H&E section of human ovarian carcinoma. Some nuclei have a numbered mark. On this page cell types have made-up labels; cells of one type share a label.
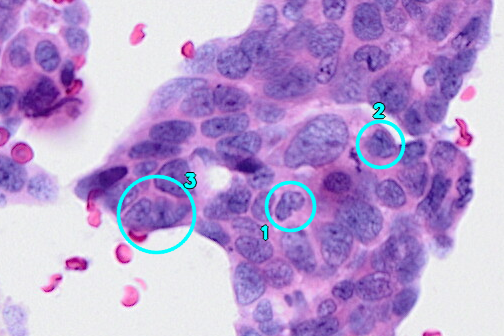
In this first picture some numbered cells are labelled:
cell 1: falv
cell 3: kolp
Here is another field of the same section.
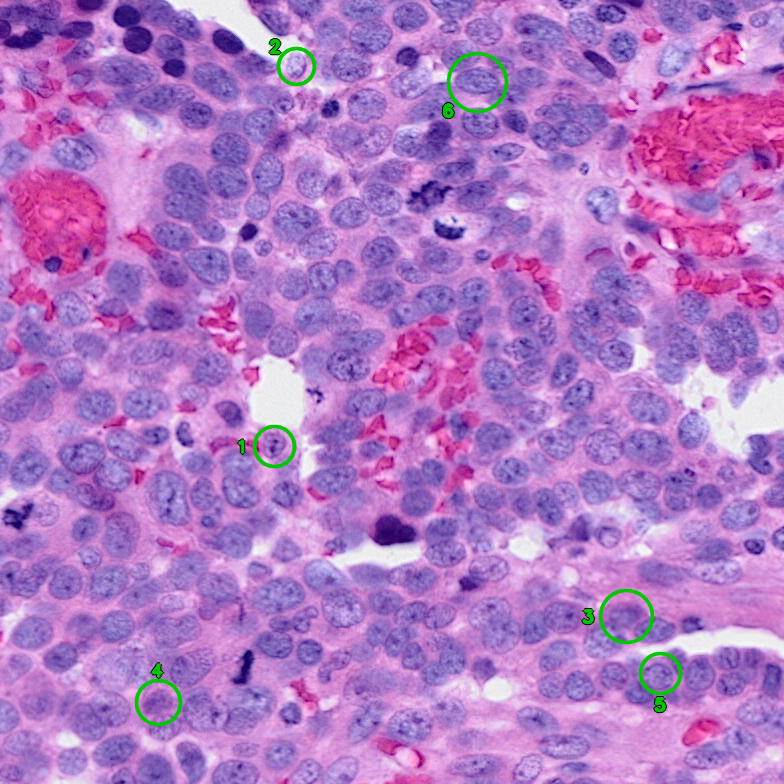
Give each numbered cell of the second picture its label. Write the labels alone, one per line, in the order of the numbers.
falv
falv
kolp
kolp
kolp
kolp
